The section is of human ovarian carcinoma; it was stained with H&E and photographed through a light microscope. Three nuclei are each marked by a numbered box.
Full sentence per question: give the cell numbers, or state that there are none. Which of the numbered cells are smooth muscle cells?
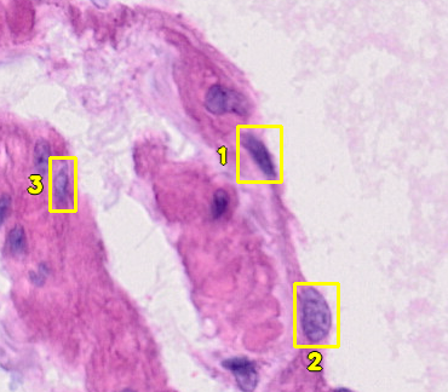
Only number 3 of the marked cells is a smooth muscle cell.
